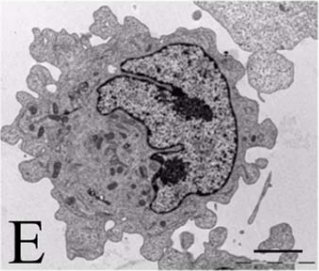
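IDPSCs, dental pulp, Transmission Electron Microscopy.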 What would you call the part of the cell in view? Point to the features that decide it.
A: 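Pseudopodes. The cell surface bears many finger-like and ruffled projections. The projections extend outward all around the cell.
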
